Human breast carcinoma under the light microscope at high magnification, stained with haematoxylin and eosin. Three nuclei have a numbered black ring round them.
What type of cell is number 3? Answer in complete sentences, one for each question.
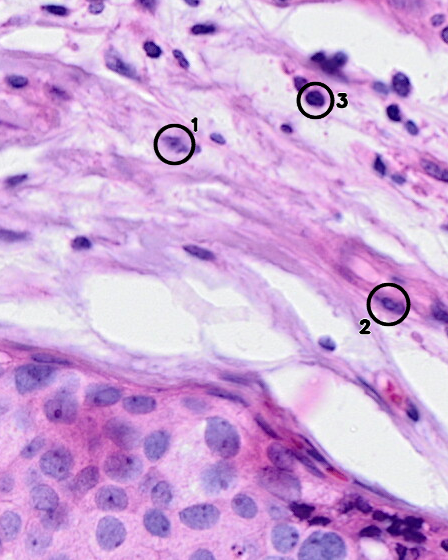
At number 3, the marked cell is a lymphocyte.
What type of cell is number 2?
Cell 2 is classified as an endothelial cell.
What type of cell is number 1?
The expected answer is that cell 1 is a fibroblast.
